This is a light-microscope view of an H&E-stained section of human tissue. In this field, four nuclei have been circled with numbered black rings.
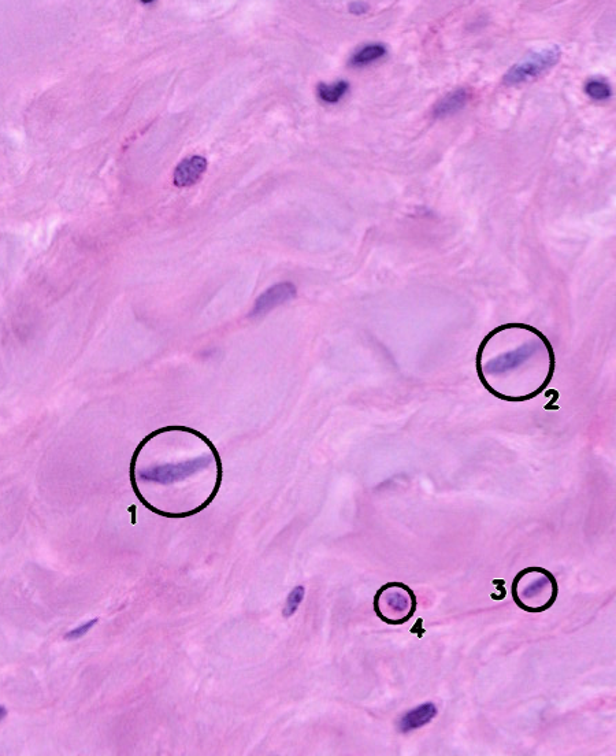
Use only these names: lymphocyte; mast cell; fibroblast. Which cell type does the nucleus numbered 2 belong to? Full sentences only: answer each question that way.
The numeral 2 marks a fibroblast in this section.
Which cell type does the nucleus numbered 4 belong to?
The cell referenced by the number 4 is a mast cell in this field.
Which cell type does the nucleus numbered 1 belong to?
The cell numbered 1 represents a fibroblast.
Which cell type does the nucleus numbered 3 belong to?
Within this field of view, the cell labelled 3 is a fibroblast.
